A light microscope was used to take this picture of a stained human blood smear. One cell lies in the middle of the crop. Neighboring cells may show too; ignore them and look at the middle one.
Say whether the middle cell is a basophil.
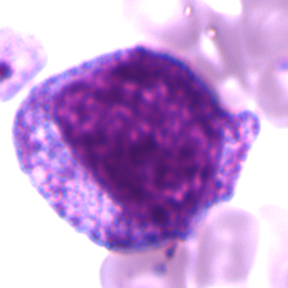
no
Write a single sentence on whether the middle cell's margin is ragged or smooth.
Ragged or projecting, the border of this cell departs from a smooth contour.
